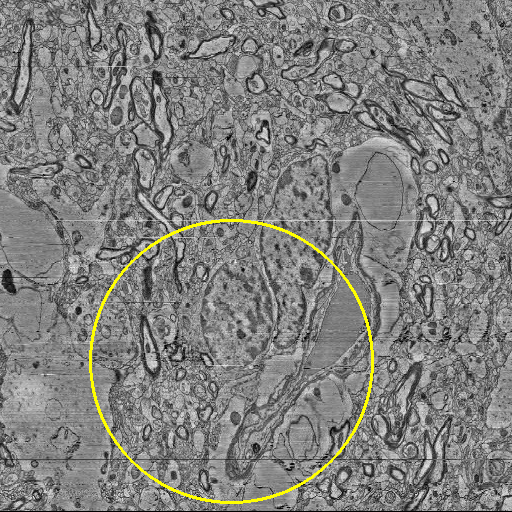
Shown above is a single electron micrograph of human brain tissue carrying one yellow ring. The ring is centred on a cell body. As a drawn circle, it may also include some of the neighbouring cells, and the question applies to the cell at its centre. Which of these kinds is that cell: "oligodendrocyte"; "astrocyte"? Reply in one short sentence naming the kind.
The cell marked by the ring is an oligodendrocyte.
